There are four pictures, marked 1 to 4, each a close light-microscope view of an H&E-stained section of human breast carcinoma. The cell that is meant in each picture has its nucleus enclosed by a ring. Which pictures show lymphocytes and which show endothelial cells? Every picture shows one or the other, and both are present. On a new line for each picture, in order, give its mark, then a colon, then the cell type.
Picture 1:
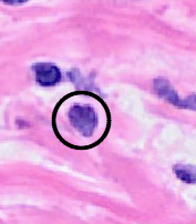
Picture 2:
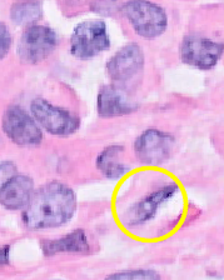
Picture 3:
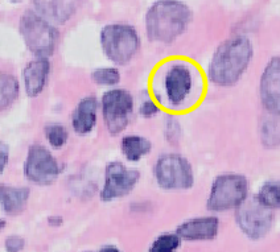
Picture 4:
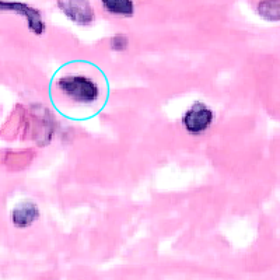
1: lymphocyte
2: endothelial cell
3: lymphocyte
4: lymphocyte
